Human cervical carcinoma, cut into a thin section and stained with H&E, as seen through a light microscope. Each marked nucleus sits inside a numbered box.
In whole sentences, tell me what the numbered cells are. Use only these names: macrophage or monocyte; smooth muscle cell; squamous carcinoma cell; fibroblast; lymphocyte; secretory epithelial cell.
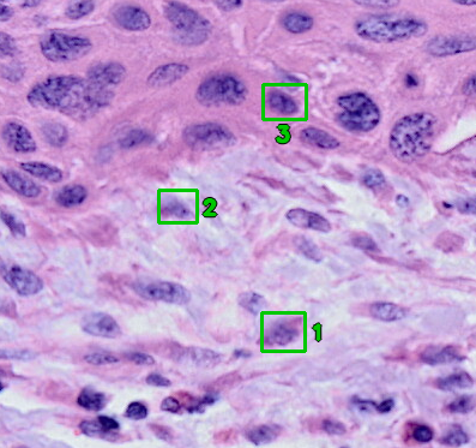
Cells 1 and 2 are fibroblasts. Cell 3 is a squamous carcinoma cell.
